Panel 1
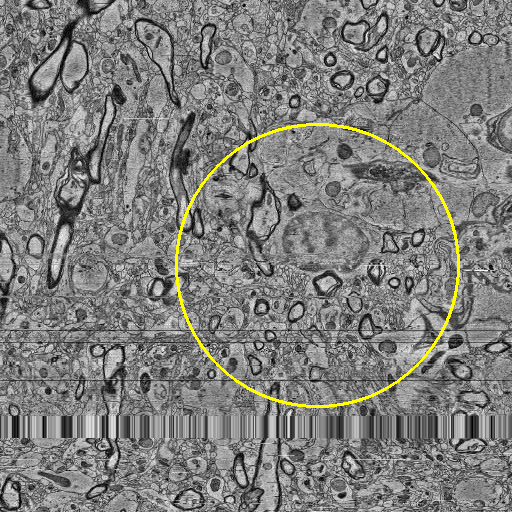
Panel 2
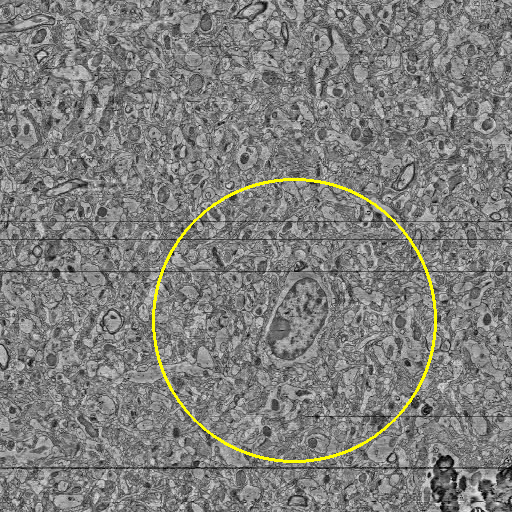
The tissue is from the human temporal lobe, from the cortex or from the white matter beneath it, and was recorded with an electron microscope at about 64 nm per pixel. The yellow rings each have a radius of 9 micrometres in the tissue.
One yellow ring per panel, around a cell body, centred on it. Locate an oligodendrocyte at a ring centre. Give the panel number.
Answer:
1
